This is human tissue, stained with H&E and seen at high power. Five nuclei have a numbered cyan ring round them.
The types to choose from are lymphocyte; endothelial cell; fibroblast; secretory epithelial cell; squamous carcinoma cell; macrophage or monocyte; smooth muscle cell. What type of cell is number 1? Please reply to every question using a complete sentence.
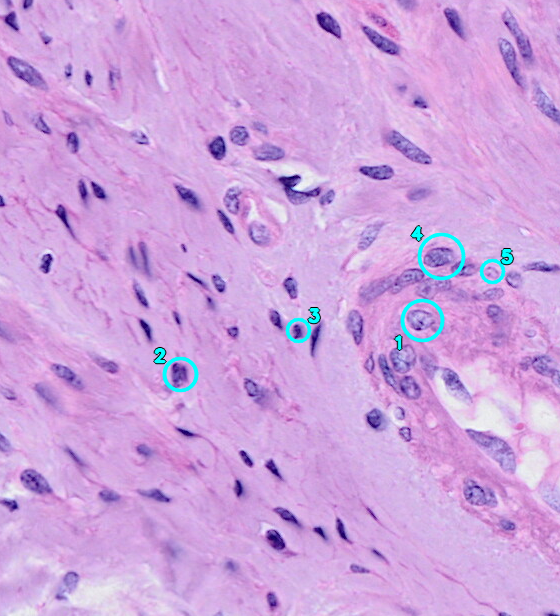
Regarding cell 1, this one is a smooth muscle cell.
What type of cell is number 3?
The cell numbered 3 has been identified as a fibroblast.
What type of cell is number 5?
The numeral 5 marks a smooth muscle cell in this section.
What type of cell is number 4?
Identified by the number 4, the cell is a smooth muscle cell.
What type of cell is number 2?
The marked nucleus 2 is that of a fibroblast.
